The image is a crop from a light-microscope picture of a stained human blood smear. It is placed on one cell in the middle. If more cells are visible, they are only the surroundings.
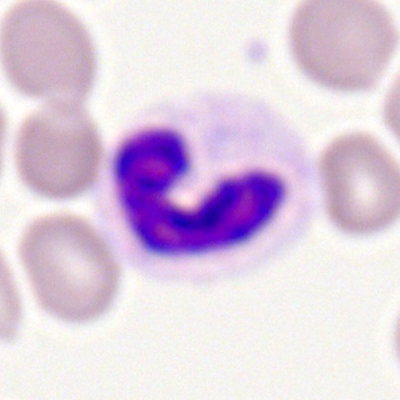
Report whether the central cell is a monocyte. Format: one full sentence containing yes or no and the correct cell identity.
No, the centred cell is a band neutrophil, and it is not a monocyte.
